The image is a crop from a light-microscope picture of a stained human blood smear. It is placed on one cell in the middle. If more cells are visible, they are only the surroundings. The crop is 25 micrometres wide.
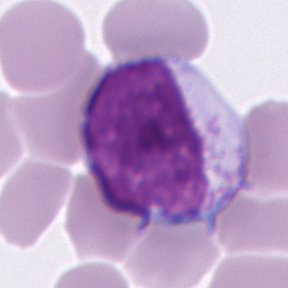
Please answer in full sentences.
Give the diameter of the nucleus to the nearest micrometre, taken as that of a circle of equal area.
The diameter of the nucleus comes to about 11 micrometres.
